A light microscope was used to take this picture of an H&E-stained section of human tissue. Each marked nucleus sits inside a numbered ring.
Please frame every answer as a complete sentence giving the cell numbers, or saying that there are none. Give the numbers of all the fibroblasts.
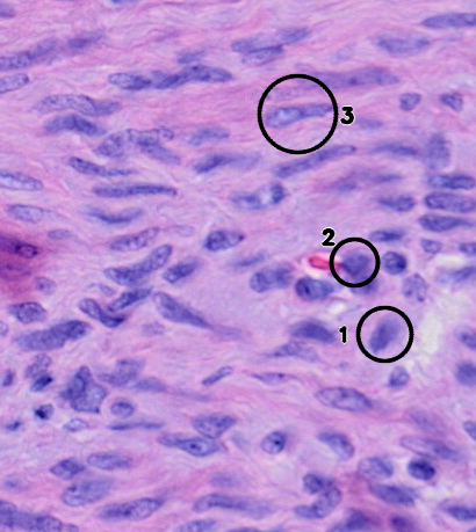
The numbered cells include exactly one that is a fibroblast, which is cell 1.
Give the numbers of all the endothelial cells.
The one cell that is an endothelial cell is cell 2, and no other.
